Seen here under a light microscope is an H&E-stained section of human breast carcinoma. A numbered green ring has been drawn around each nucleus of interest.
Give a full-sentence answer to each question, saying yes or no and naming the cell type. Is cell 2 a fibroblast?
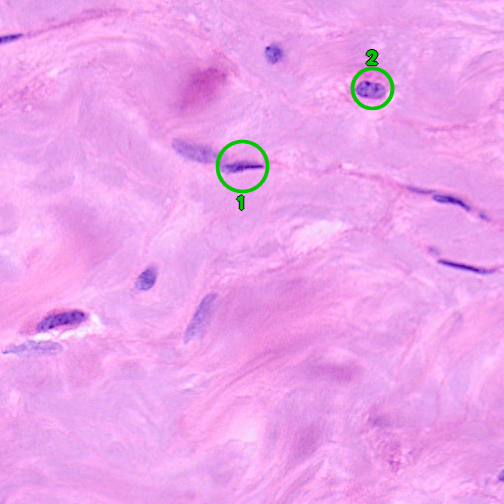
No, cell 2 is not a fibroblast, but is instead a mast cell.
